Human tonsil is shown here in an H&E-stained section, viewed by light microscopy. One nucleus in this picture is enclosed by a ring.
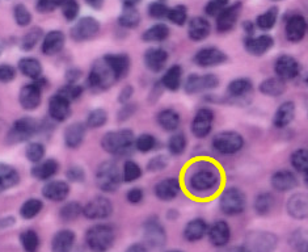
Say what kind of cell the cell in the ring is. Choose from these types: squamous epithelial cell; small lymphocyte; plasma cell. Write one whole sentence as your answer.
This is a plasma cell.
